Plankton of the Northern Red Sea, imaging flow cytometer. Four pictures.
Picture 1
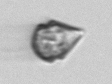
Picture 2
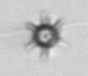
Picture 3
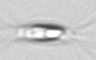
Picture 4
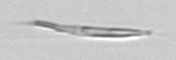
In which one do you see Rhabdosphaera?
In picture 2.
